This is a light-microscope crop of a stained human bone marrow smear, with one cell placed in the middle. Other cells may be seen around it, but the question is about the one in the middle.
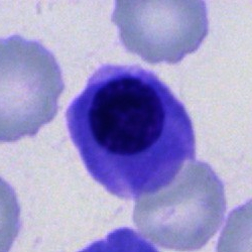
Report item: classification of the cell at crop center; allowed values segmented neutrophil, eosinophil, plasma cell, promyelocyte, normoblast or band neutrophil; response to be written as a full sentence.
The cell centered in this field of view is a normoblast.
